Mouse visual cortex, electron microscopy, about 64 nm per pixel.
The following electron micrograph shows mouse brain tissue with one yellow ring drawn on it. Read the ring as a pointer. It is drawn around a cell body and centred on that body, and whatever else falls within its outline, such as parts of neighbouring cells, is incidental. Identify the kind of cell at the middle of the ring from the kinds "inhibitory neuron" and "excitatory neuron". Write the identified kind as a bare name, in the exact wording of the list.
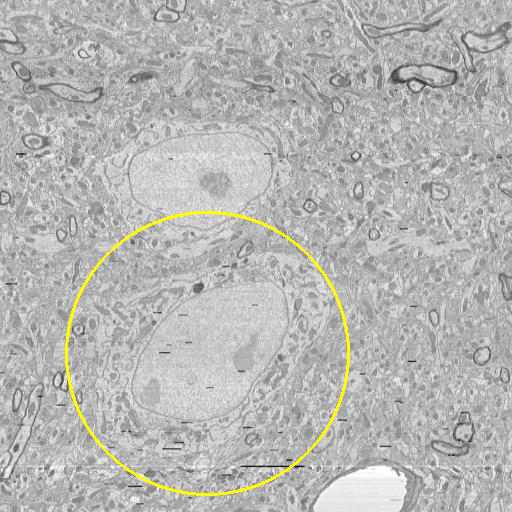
inhibitory neuron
